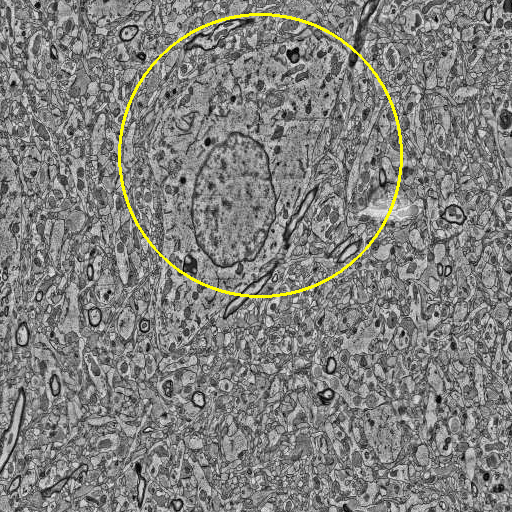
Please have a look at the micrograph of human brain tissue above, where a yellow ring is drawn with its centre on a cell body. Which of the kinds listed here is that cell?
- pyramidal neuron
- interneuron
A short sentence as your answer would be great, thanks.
At the centre of the ring sits a pyramidal neuron.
